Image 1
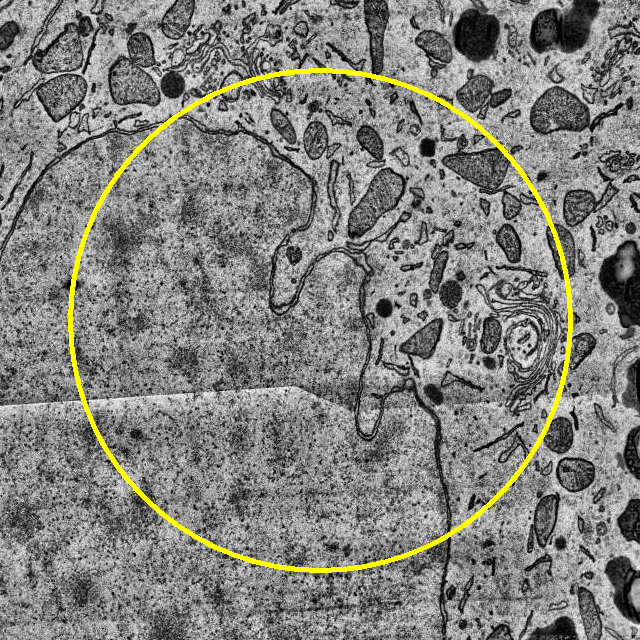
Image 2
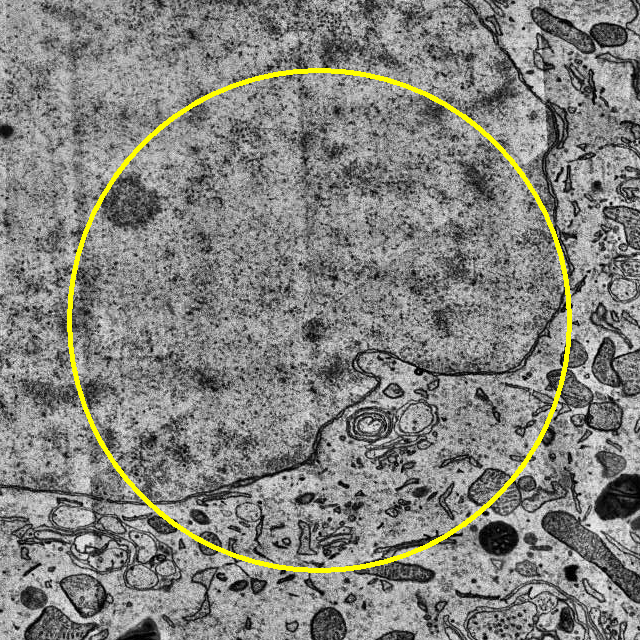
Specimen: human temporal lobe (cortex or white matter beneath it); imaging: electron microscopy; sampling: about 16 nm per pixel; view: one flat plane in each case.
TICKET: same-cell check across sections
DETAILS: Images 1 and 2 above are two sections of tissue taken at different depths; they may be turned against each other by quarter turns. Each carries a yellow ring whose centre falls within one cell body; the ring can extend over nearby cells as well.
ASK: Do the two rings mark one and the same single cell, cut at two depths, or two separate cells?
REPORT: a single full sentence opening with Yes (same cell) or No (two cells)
Yes, the two yellow circles hold the same cell.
